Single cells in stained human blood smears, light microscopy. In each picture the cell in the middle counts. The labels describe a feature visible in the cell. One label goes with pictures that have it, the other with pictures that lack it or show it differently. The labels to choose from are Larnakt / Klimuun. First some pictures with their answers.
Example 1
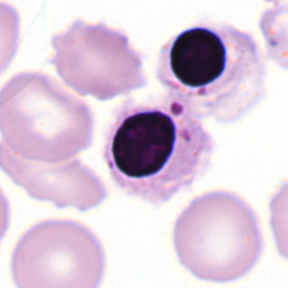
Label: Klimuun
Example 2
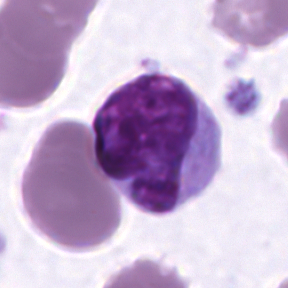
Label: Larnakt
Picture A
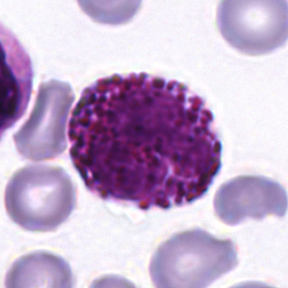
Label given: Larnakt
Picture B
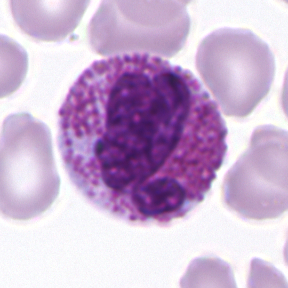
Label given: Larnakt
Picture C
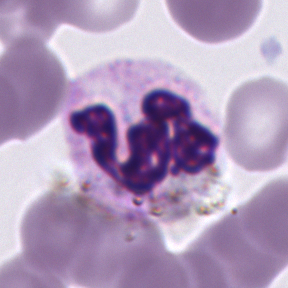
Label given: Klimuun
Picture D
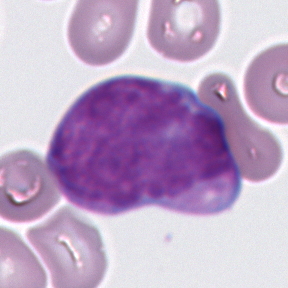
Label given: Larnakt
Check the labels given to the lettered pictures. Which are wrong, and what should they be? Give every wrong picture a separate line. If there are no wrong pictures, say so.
C should be Larnakt, not Klimuun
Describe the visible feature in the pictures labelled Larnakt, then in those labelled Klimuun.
Seen in Larnakt: smooth outline; seen in Klimuun: ragged outline or projections.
